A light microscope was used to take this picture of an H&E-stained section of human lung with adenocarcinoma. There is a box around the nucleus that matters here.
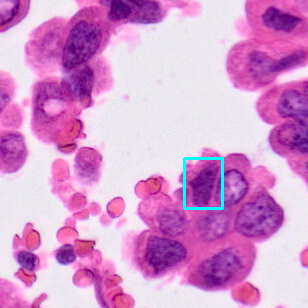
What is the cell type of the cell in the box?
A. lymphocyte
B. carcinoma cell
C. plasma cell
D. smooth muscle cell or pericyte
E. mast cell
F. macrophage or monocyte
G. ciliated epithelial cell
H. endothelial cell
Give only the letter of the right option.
B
